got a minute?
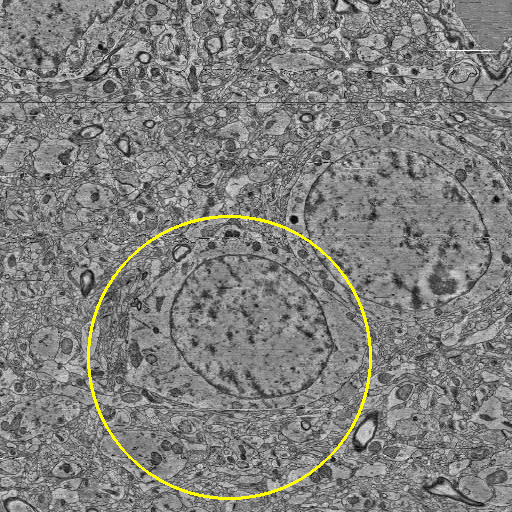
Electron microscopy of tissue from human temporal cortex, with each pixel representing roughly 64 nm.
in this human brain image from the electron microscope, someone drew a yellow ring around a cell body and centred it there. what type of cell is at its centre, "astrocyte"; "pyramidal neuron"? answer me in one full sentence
It's a pyramidal neuron at the middle of that yellow ring in the shot.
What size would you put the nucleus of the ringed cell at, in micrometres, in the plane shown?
In this plane the nucleus measures roughly 11 by 9 micrometers.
